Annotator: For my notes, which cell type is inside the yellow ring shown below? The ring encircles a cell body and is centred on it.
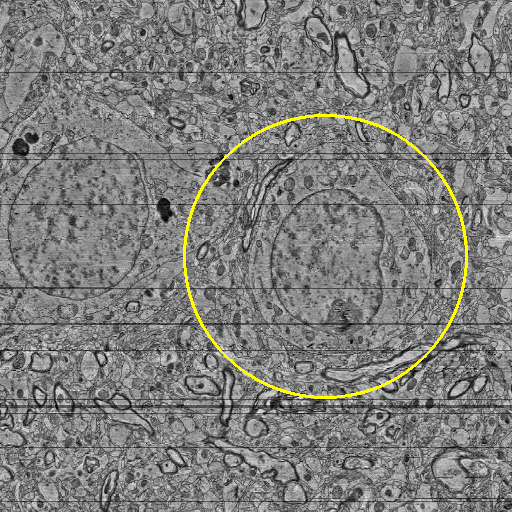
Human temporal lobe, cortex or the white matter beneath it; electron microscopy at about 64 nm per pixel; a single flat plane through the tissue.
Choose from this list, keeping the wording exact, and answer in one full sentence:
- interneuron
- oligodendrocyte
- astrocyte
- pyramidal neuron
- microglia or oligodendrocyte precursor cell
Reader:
At the centre of the yellow ring there is an interneuron, as shown in the picture.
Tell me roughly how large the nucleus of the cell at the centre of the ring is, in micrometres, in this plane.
The nucleus is approximately 10 micrometers long by 7 micrometers wide in this plane.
